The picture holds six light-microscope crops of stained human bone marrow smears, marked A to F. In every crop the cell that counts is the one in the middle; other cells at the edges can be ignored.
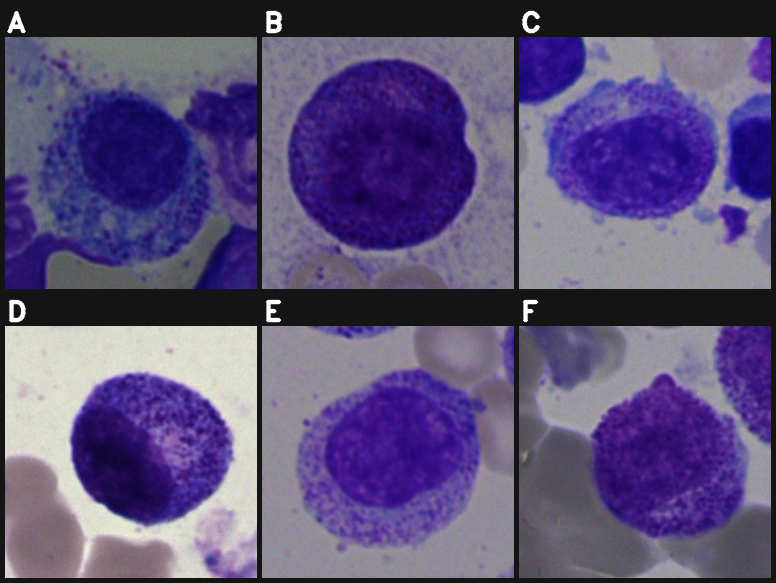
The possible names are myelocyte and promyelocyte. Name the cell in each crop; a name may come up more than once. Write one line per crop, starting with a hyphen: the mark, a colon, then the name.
- A: myelocyte
- B: promyelocyte
- C: myelocyte
- D: promyelocyte
- E: myelocyte
- F: myelocyte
